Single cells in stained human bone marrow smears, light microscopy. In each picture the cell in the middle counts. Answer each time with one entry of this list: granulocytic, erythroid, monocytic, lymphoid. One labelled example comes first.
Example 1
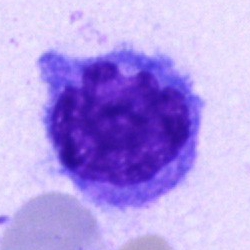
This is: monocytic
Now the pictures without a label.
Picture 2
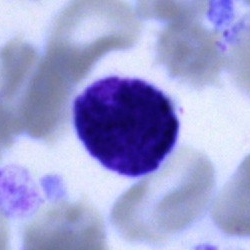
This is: lymphoid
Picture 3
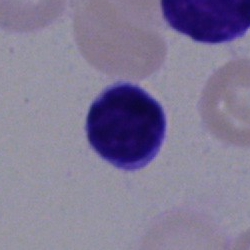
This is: lymphoid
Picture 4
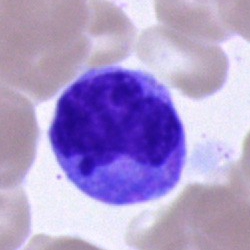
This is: monocytic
